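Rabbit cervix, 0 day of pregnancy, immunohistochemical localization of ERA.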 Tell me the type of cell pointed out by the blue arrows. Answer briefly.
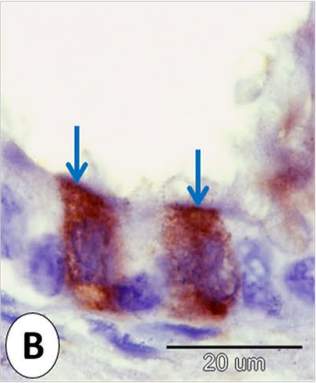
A: Ciliated cells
